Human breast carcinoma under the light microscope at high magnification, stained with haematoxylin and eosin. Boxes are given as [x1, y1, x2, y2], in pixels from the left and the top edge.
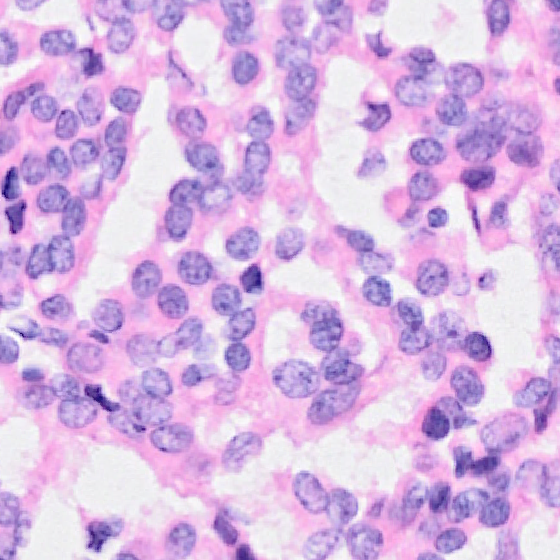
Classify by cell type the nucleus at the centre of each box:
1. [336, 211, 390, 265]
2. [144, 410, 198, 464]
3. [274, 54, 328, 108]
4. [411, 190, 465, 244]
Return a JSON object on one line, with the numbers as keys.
{"1": "carcinoma cell", "2": "carcinoma cell", "3": "carcinoma cell", "4": "lymphocyte"}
